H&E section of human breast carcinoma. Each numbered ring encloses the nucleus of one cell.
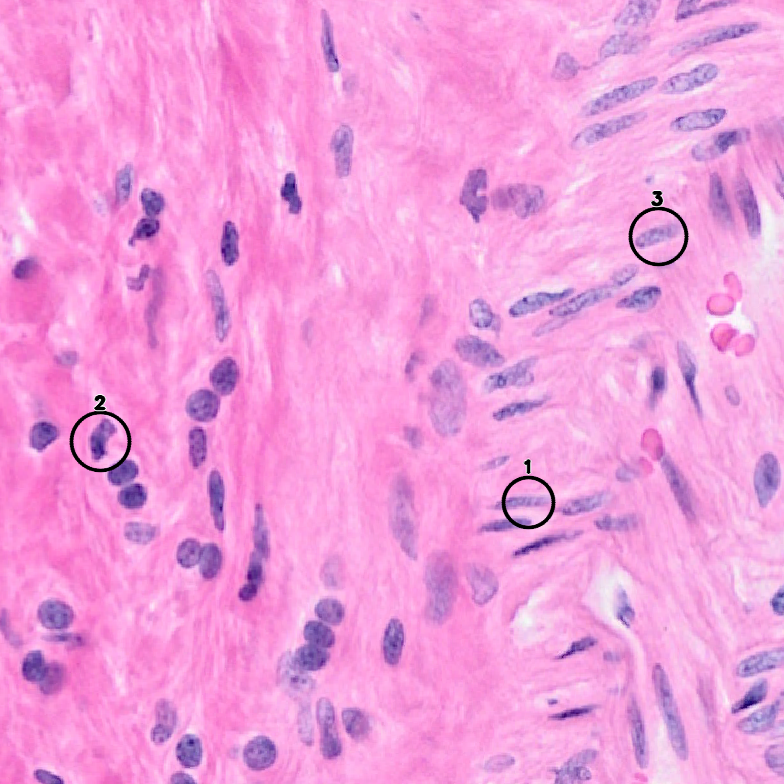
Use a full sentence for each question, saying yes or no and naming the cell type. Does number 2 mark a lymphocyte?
Yes, the cell at number 2 is a lymphocyte.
